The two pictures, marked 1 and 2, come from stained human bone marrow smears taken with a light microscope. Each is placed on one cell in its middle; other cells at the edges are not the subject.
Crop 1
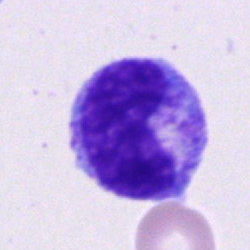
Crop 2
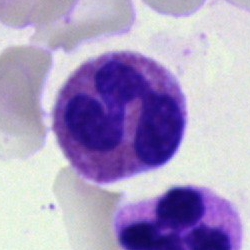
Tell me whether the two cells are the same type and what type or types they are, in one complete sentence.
No, cell 1 is a metamyelocyte, and cell 2 is an eosinophil.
